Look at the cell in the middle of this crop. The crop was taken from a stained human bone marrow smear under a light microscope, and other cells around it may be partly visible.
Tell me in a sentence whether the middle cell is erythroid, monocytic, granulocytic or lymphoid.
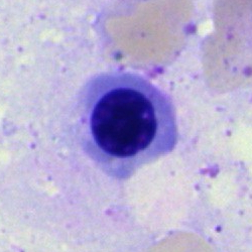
From the erythroid lineage comes the cell in the middle of the crop.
